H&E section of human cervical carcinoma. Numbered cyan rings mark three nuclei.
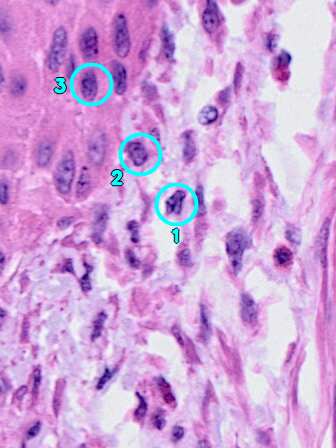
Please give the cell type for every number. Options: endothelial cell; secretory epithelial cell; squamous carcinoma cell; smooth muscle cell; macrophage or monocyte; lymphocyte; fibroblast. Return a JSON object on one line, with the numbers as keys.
{"1": "lymphocyte", "2": "macrophage or monocyte", "3": "squamous carcinoma cell"}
